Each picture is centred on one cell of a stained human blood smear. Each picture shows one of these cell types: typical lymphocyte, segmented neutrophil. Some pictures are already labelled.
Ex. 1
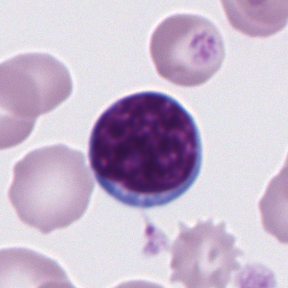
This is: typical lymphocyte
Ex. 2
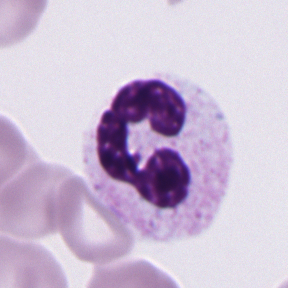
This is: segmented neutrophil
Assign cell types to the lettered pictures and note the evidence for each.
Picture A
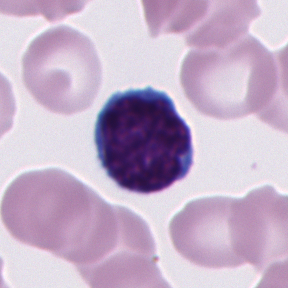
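typical lymphocyte. The cytoplasm is only a thin rim at the edge of the cell.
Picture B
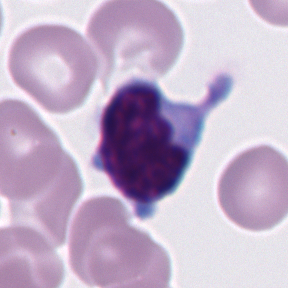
typical lymphocyte. The nucleus fills most of the cell.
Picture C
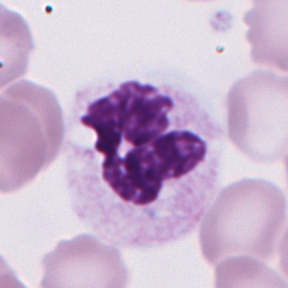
segmented neutrophil. The cytoplasm is abundant and pale pinkish-lilac.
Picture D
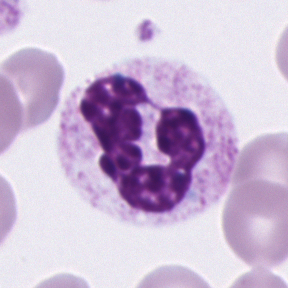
segmented neutrophil. The cytoplasm is abundant and pale pinkish-lilac.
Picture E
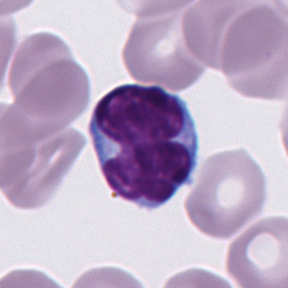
typical lymphocyte. The cytoplasm is a scant rim that stains pale blue.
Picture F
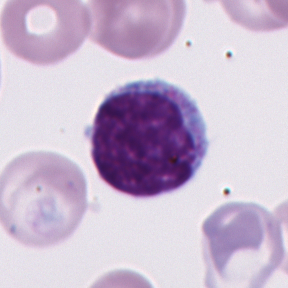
typical lymphocyte. The cytoplasm forms a narrow rim that is widest on the right side.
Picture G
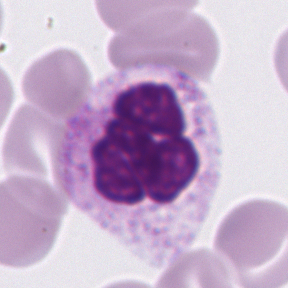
segmented neutrophil. Pale pink cytoplasm forms a wide rim around the nucleus.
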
